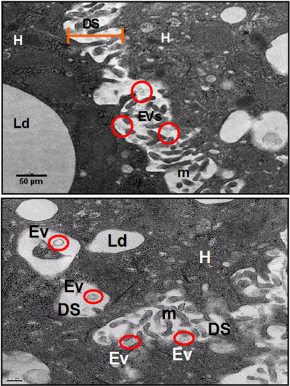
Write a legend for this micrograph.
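Electron micrographs of liver show hepatocytes with dense, dark cytoplasm bordering a narrow perisinusoidal space. Large, round, pale lipid droplets sit within the hepatocyte cytoplasm. Numerous slender finger-like microvilli project from the hepatocyte surface into the space. Small rounded vesicles lie free among the microvilli in this space.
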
